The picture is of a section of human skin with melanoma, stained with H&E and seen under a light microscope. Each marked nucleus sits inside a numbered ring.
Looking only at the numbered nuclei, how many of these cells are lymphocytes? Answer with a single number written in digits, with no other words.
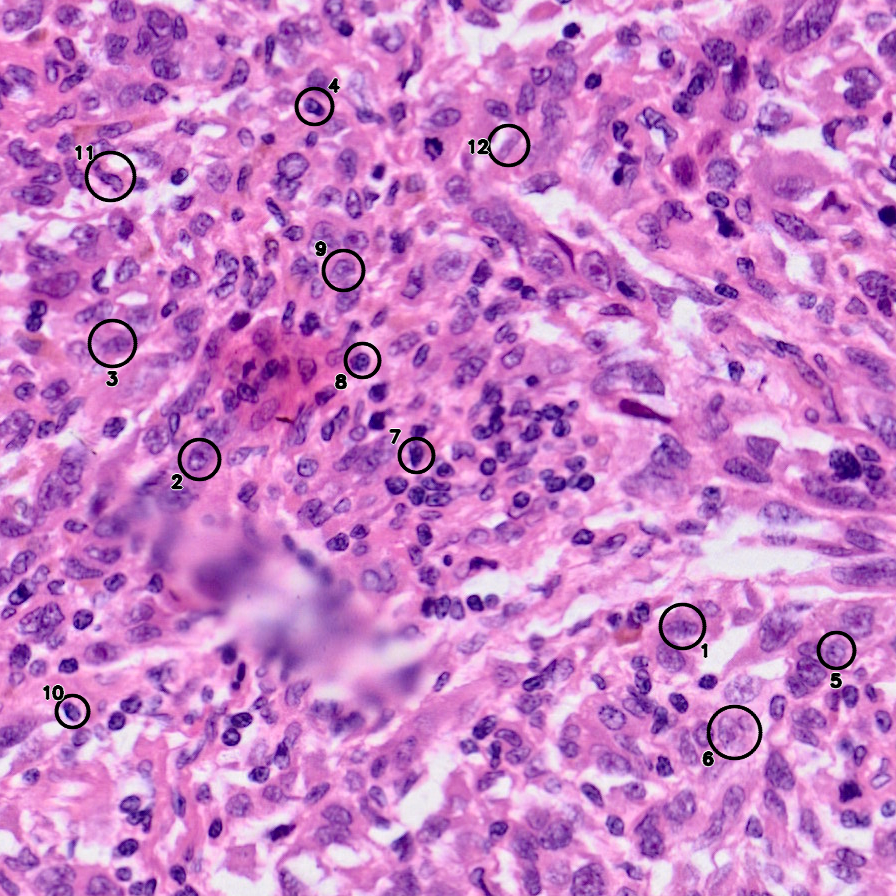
4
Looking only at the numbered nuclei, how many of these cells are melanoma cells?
7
